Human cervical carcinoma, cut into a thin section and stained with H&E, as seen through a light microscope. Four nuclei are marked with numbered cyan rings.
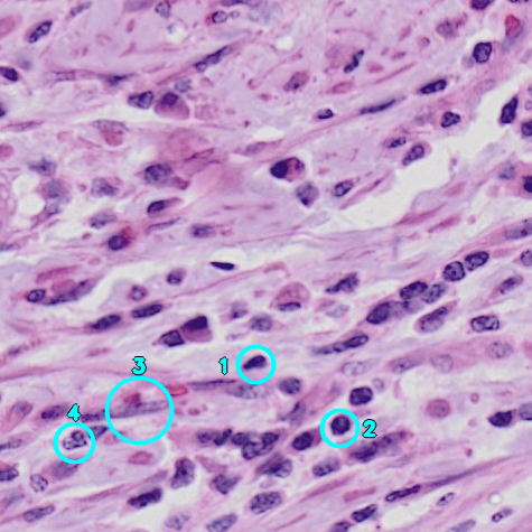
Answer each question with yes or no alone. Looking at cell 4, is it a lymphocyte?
yes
